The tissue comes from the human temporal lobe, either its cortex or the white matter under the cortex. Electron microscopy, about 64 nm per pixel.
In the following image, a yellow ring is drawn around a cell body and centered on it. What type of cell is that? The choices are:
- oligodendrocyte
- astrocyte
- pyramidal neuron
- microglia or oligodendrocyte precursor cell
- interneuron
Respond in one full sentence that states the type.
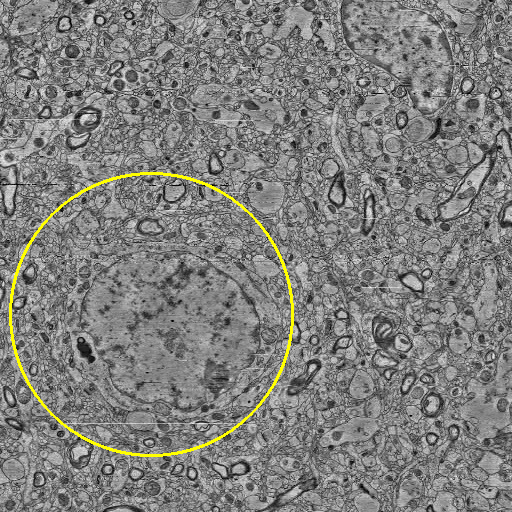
The cell at the center of the yellow ring in the image is an interneuron.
